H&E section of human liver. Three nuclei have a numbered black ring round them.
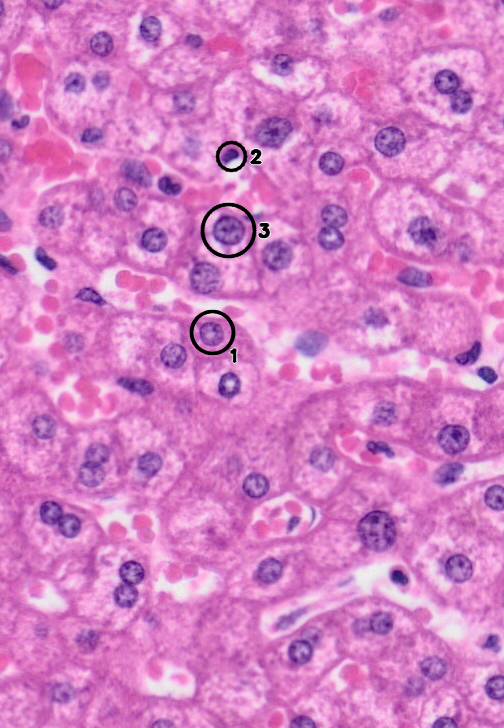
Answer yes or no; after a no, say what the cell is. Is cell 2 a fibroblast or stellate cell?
Yes.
